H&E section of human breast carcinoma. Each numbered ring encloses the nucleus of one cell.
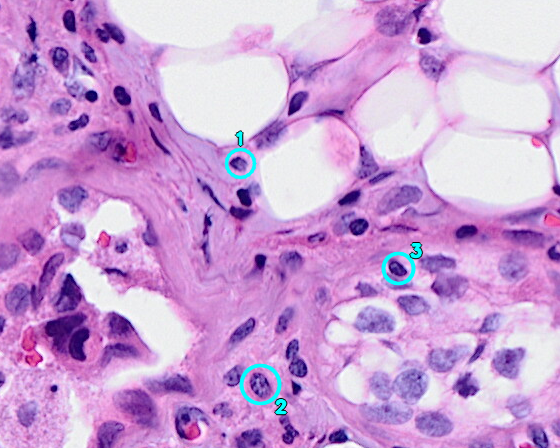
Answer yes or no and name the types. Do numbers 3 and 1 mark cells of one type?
No, cell 3 is a lymphocyte and cell 1 is a mast cell.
